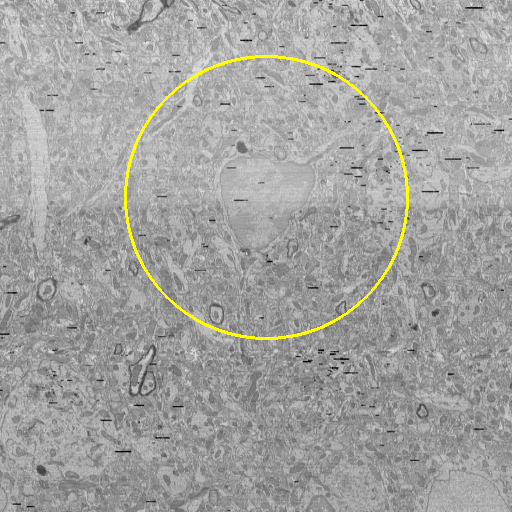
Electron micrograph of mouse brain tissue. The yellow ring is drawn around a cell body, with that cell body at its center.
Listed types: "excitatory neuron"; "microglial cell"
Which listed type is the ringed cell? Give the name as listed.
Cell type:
microglial cell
